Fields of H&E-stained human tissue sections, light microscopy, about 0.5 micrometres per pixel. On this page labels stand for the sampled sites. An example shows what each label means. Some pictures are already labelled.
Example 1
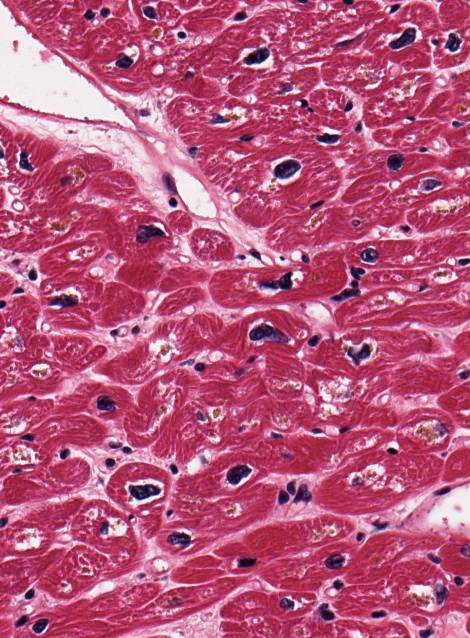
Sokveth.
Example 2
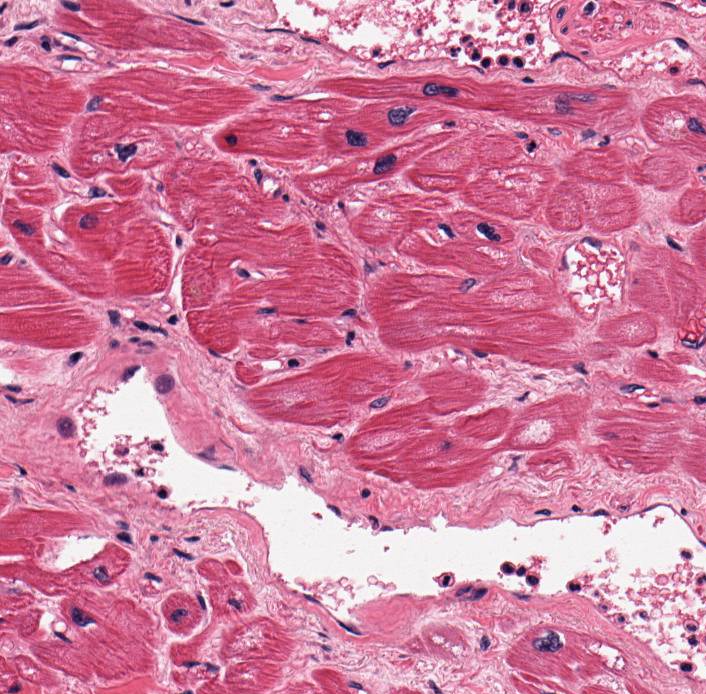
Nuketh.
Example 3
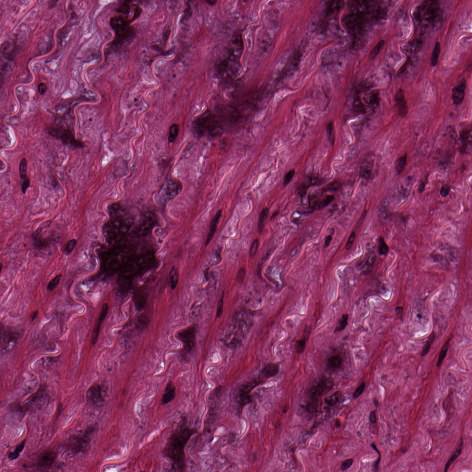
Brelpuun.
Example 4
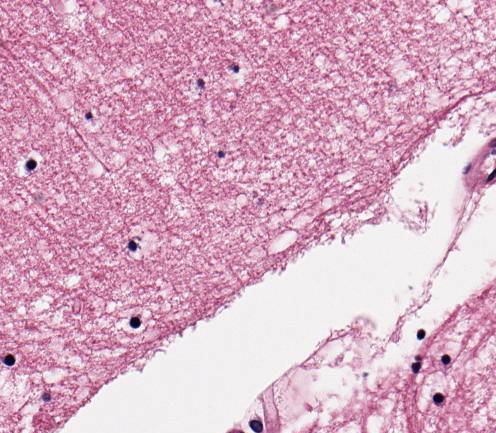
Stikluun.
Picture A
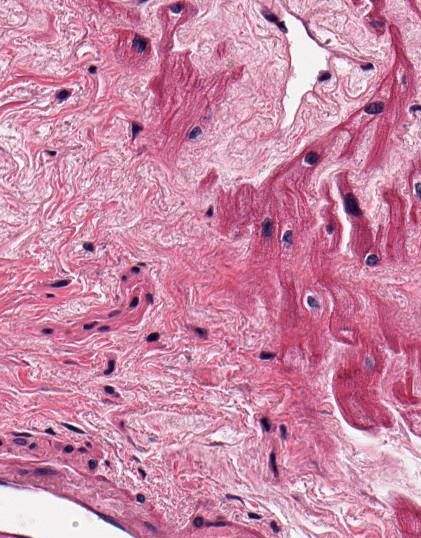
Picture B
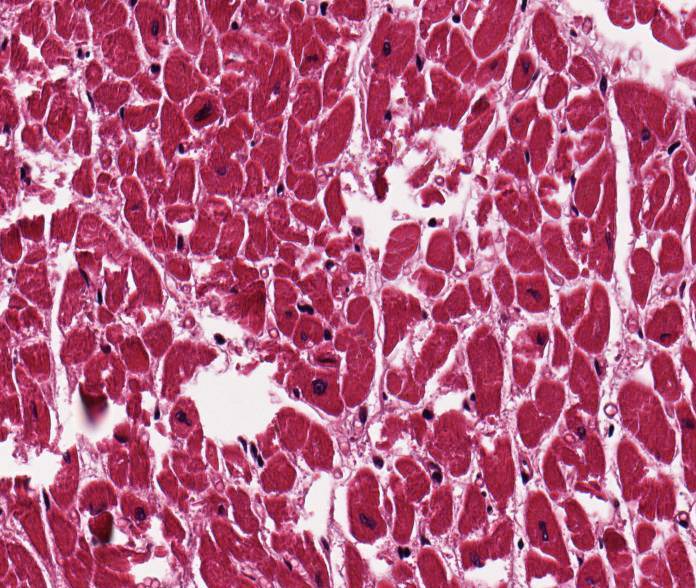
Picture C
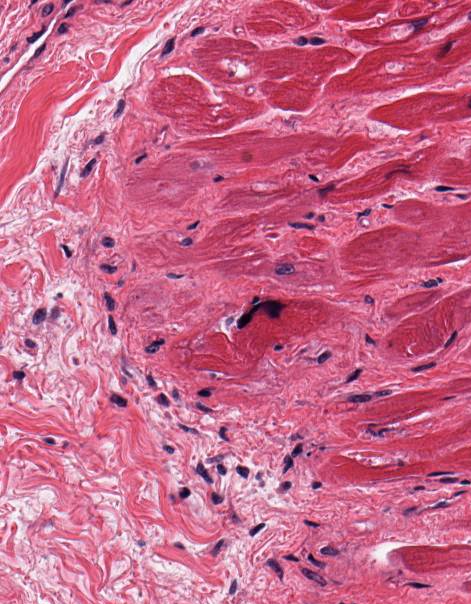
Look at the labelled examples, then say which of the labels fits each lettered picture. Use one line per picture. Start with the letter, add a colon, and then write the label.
A: Nuketh.
B: Sokveth.
C: Nuketh.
